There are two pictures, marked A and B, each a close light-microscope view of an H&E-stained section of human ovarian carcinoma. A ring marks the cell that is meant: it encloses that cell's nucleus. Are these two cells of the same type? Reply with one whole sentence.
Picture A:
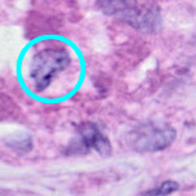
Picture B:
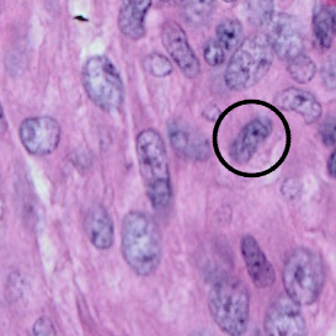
Yes; the cells in both pictures are “macrophages or monocytes”.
